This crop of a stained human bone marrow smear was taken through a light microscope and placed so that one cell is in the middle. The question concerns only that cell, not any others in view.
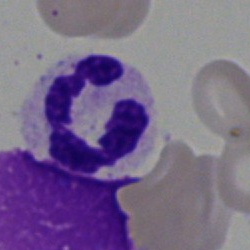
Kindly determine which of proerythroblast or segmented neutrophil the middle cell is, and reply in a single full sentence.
Answering briefly, the cell in the middle is a segmented neutrophil.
